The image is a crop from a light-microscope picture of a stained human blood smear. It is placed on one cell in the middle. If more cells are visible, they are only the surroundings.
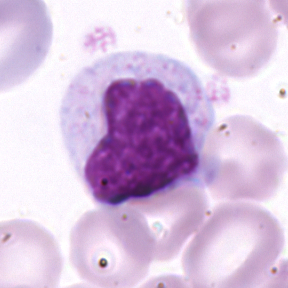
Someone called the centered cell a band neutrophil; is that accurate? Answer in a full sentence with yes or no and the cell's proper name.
No, the cell in the centre is to be called a metamyelocyte instead of a band neutrophil.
